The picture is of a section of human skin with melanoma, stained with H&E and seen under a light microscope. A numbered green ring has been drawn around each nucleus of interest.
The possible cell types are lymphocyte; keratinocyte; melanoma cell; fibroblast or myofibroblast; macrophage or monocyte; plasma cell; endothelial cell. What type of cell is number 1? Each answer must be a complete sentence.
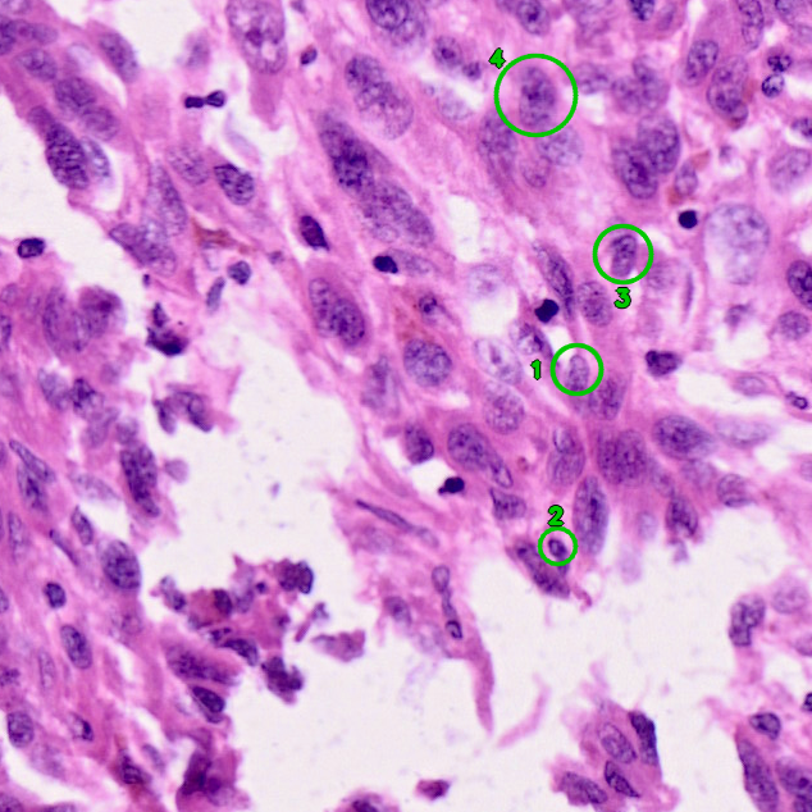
Nucleus 1 in this section belongs to a melanoma cell.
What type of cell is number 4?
In this section, number 4 marks a melanoma cell.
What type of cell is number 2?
The marked cell with the number 2 is recognised as a lymphocyte.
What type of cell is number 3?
The cell assigned the number 3 is a melanoma cell.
